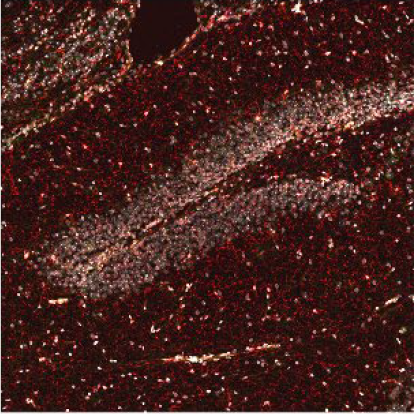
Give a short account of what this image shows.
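This is a section of brain tissue in which the nuclei show as small round grey dots. Most of the grey nuclei are packed tightly into a curved band that crosses the field, while elsewhere they lie scattered singly. No blue staining stands out anywhere in the field.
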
